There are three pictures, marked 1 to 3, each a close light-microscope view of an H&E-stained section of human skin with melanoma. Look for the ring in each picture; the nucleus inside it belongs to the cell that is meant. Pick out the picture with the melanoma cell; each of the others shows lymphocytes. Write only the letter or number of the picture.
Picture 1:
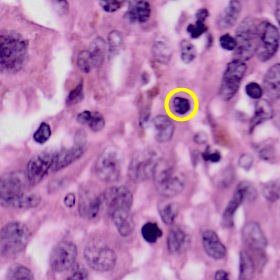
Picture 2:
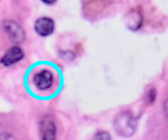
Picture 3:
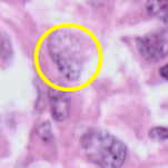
3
